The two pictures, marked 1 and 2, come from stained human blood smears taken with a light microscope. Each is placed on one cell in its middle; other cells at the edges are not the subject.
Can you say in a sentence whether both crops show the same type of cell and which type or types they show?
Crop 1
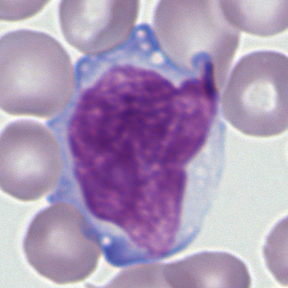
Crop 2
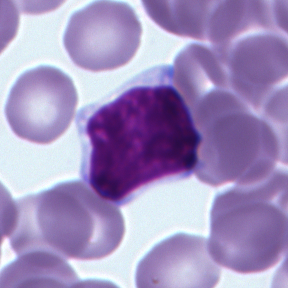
No, a blast is what occupies crop 1, and a lymphocyte is what occupies crop 2.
